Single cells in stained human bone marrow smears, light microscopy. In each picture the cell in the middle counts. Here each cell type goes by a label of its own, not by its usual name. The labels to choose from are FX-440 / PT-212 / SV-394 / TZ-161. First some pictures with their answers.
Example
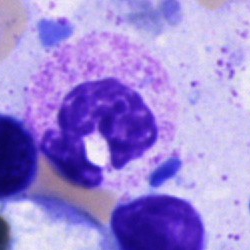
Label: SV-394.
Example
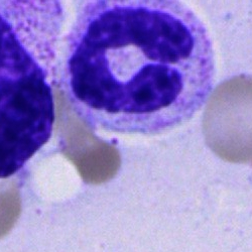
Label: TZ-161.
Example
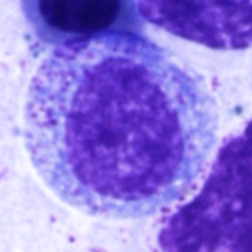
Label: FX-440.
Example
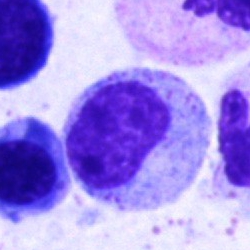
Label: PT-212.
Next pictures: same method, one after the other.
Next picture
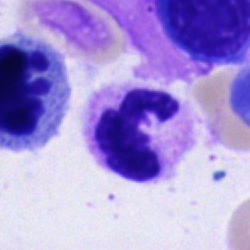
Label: SV-394.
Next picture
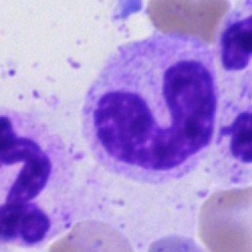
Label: TZ-161.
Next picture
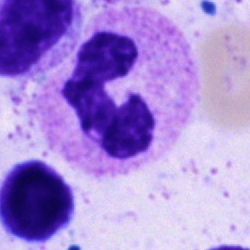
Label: SV-394.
